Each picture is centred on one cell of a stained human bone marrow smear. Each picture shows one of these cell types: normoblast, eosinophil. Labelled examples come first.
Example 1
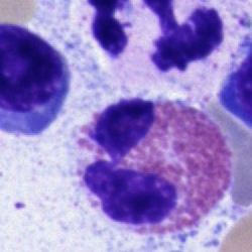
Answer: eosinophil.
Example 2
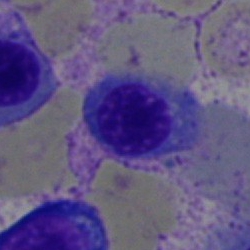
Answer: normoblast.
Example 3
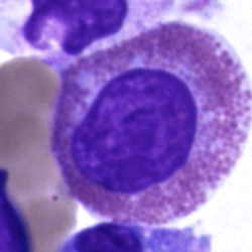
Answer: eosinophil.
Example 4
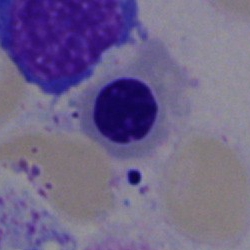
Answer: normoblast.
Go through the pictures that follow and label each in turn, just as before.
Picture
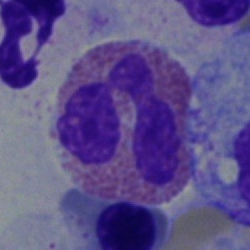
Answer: eosinophil.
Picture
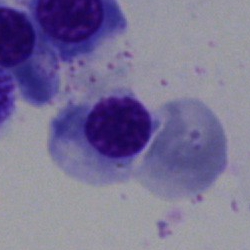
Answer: normoblast.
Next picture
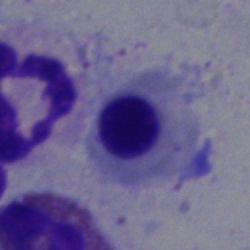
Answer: normoblast.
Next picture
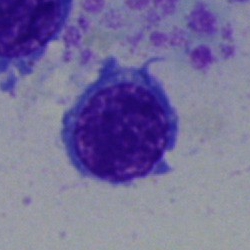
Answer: normoblast.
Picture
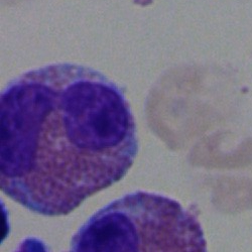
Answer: eosinophil.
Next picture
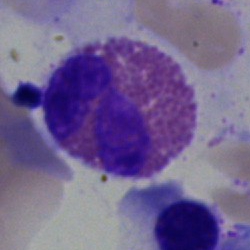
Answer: eosinophil.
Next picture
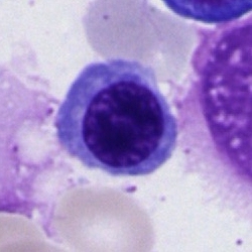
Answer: normoblast.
